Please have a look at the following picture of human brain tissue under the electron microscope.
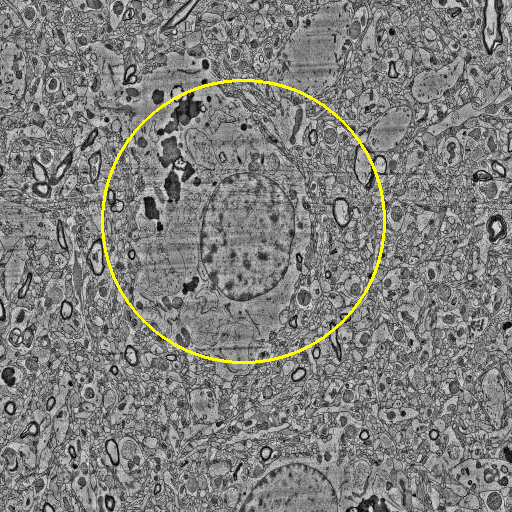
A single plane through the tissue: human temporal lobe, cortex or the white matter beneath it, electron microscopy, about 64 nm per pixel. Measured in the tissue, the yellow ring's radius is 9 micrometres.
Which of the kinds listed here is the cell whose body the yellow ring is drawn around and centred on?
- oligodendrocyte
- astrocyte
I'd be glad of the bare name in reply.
astrocyte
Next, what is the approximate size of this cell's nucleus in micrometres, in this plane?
The nucleus works out at approximately 8 by 6 micrometres in this plane.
